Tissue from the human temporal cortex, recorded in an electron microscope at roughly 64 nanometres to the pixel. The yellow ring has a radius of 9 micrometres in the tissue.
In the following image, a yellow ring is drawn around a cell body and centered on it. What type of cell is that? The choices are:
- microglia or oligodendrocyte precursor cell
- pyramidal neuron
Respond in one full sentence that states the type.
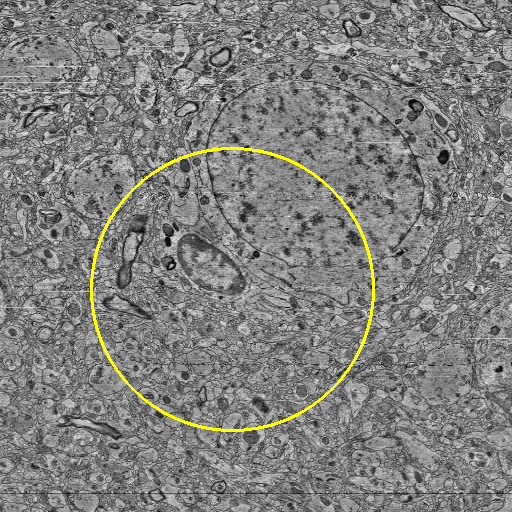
The cell at the center of the yellow ring in the image is a microglial cell or oligodendrocyte precursor cell.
